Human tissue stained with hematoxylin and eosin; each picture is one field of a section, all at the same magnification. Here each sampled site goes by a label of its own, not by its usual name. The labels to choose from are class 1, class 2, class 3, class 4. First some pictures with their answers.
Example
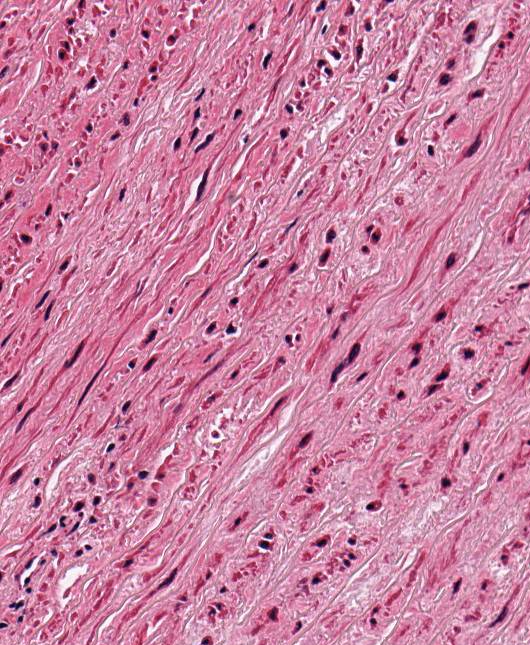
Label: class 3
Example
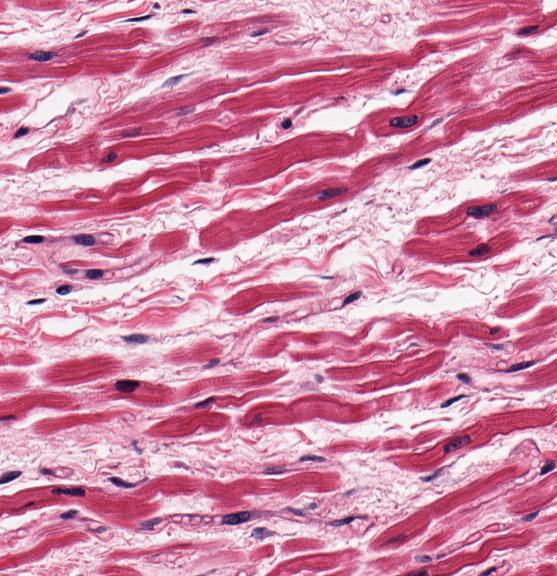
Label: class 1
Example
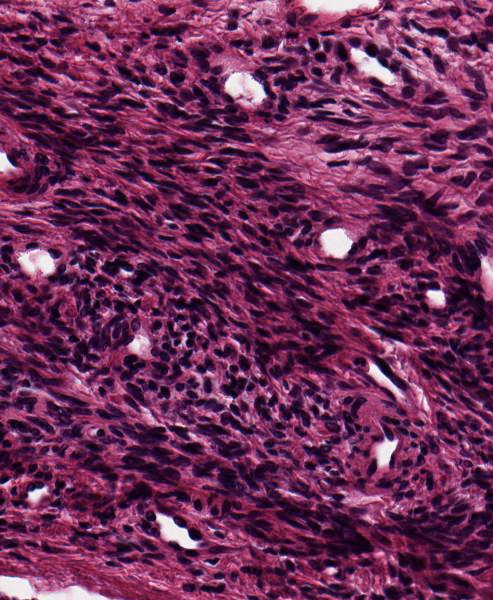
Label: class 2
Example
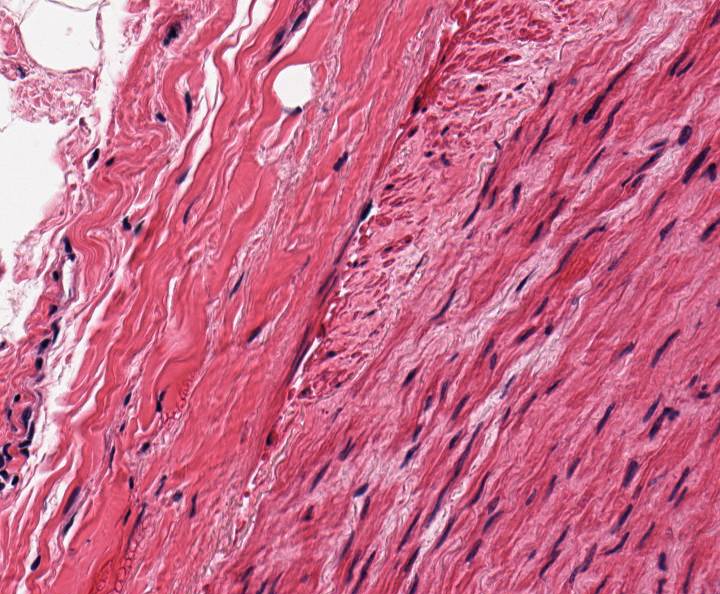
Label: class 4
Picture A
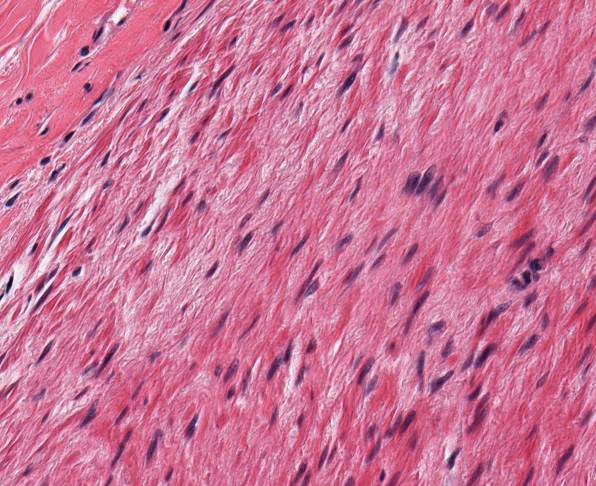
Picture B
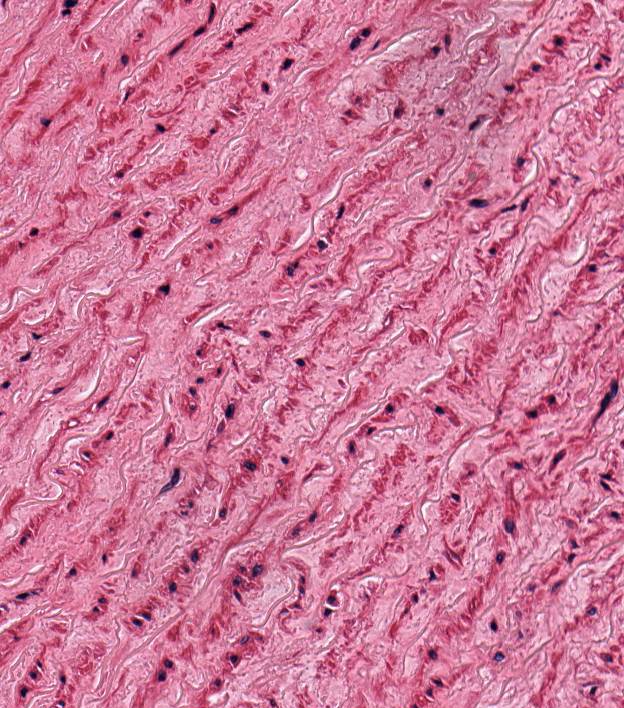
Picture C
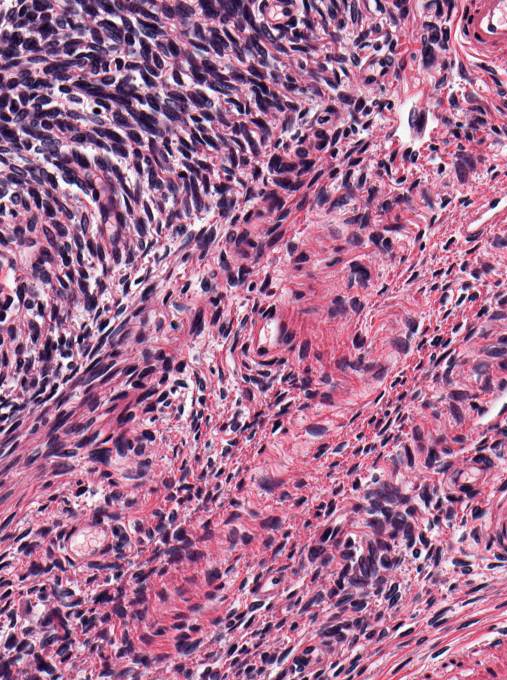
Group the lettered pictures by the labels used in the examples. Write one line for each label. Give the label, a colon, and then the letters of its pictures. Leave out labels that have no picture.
class 2: C
class 3: B
class 4: A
